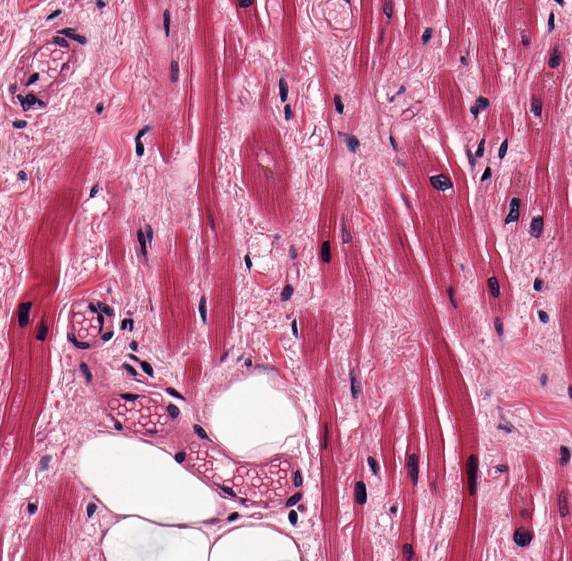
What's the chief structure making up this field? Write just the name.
myocardium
